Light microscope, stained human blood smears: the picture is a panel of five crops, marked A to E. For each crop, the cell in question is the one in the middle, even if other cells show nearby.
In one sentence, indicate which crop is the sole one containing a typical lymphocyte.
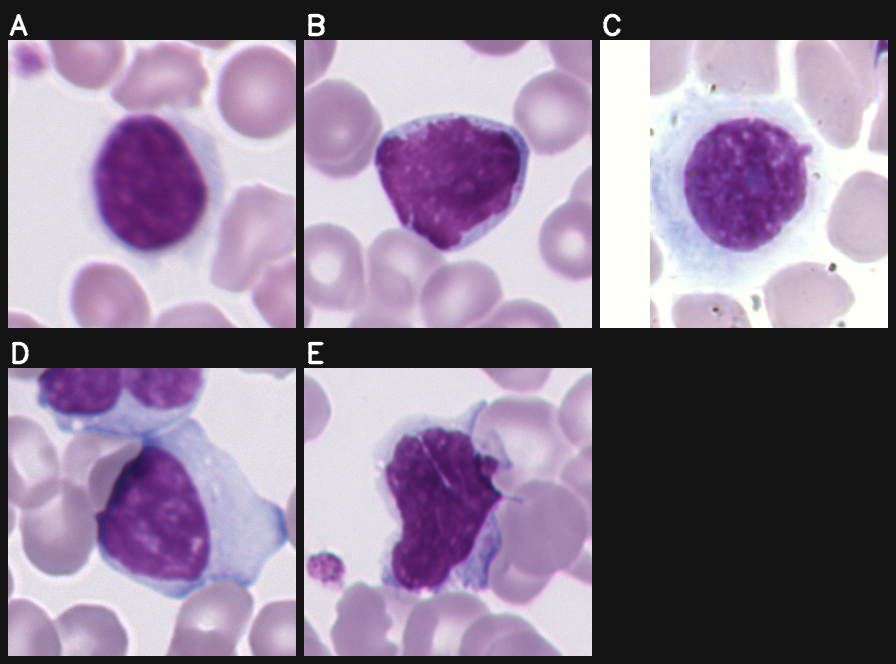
Among the crops given, only crop E shows a typical lymphocyte.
